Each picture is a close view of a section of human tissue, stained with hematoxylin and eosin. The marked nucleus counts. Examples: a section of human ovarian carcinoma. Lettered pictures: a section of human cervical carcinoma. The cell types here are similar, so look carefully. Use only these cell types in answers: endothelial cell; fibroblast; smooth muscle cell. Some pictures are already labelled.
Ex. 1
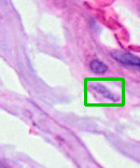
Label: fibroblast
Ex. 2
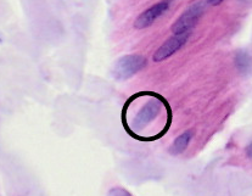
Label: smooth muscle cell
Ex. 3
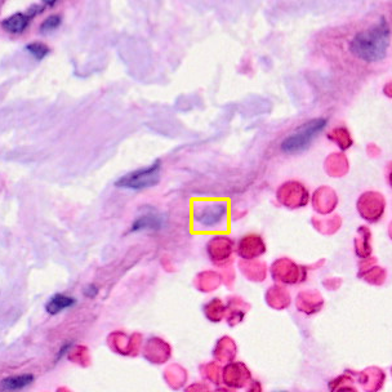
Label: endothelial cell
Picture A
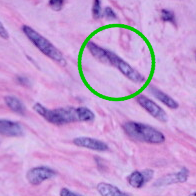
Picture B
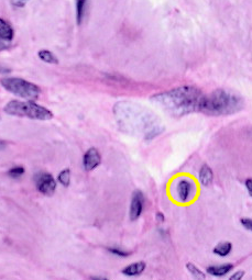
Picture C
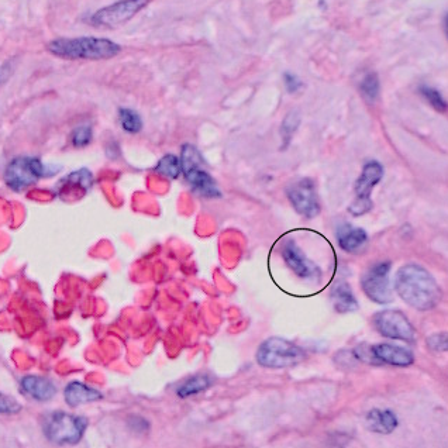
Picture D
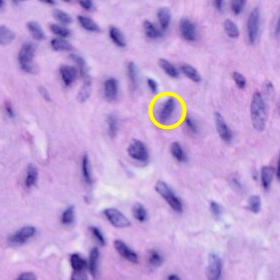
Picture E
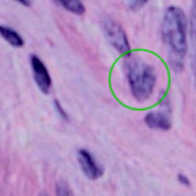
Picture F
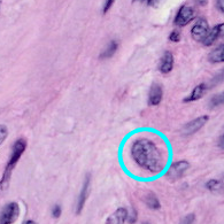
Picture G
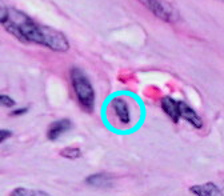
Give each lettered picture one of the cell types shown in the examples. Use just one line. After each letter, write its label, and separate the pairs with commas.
A smooth muscle cell, B fibroblast, C endothelial cell, D fibroblast, E smooth muscle cell, F smooth muscle cell, G endothelial cell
